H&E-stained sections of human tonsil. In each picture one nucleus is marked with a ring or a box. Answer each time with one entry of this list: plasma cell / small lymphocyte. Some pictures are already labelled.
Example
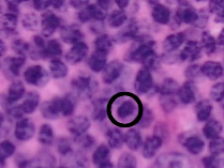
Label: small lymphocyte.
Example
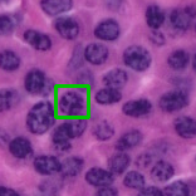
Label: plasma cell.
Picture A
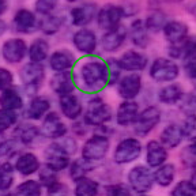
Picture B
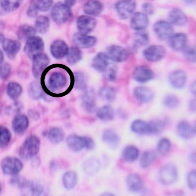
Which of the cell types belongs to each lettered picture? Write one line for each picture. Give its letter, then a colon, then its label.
A: small lymphocyte.
B: small lymphocyte.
